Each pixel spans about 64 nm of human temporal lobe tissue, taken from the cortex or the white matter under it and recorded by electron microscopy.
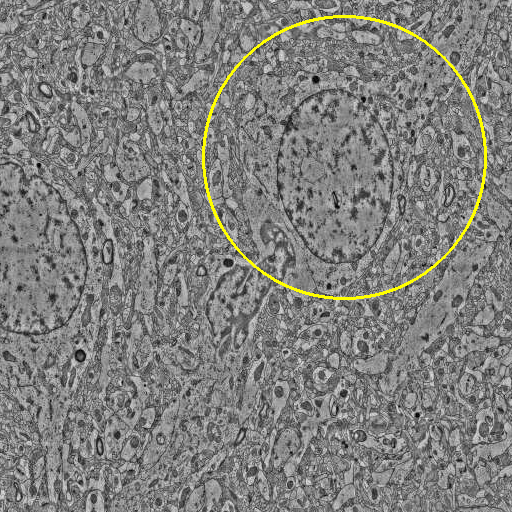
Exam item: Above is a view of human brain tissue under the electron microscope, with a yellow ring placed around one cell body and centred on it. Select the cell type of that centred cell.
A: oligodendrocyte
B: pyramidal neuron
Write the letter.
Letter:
B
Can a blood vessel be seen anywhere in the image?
No, none is visible.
